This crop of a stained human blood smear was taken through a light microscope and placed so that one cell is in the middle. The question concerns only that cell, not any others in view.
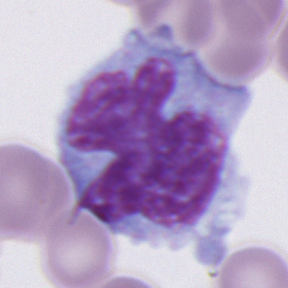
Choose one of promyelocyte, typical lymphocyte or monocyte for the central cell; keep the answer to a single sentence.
Centred in the crop is a monocyte.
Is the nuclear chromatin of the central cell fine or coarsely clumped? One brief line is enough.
Answer: the chromatin is fine and has no coarse clumps.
